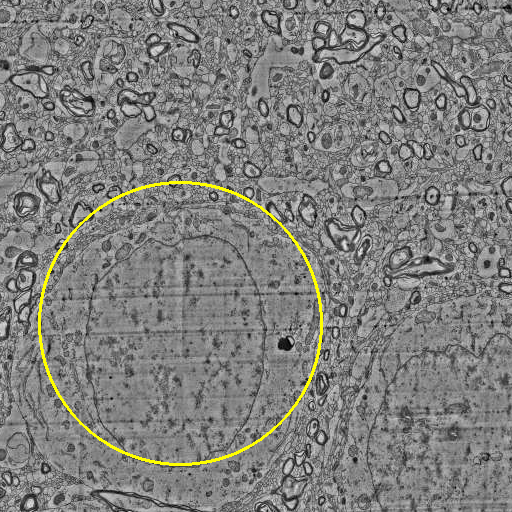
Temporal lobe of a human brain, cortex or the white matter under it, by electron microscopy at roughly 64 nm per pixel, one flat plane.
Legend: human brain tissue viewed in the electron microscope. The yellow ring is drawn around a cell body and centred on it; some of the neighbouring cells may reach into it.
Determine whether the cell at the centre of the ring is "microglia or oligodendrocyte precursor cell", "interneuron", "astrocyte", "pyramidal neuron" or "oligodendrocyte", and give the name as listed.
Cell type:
pyramidal neuron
